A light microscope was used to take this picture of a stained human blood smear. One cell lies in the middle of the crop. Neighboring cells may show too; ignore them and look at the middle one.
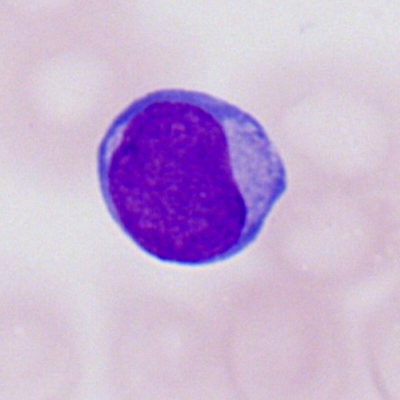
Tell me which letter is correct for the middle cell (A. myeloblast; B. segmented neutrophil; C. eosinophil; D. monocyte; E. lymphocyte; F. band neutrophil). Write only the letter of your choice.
A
